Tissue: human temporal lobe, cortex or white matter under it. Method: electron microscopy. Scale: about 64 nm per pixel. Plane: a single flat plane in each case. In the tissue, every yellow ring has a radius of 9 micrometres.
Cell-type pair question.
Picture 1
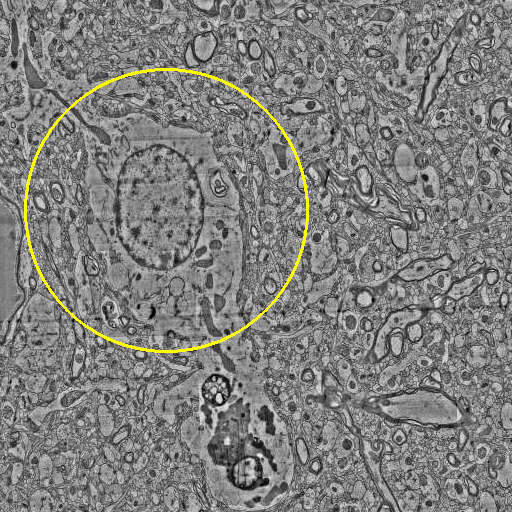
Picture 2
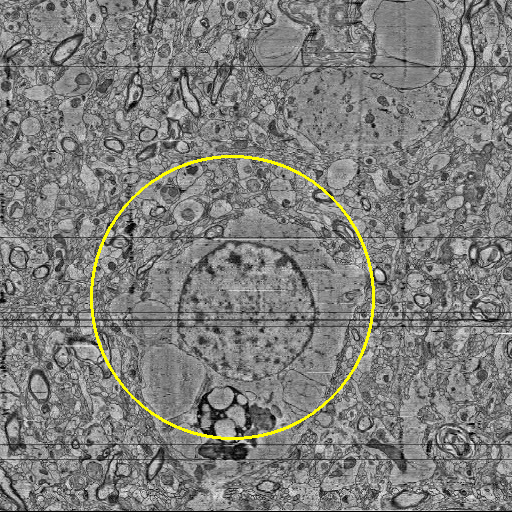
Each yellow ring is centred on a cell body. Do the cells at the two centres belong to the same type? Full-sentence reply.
Yes, the two cells belong to the same type.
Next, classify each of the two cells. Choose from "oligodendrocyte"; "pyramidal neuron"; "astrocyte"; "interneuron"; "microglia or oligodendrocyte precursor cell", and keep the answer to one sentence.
Each of the ringed cells, first and second, is an astrocyte.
